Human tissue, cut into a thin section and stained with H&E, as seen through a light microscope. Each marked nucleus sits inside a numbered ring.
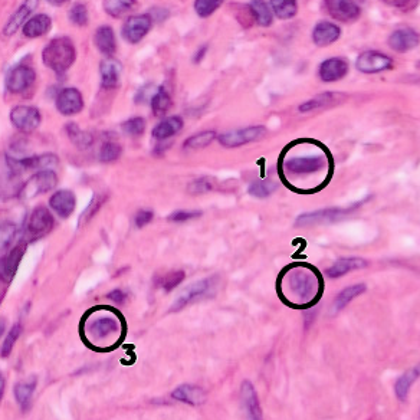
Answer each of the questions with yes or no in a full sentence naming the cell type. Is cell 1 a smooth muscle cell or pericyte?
No, the cell carrying number 1 is a plasma cell, not a smooth muscle cell or pericyte.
